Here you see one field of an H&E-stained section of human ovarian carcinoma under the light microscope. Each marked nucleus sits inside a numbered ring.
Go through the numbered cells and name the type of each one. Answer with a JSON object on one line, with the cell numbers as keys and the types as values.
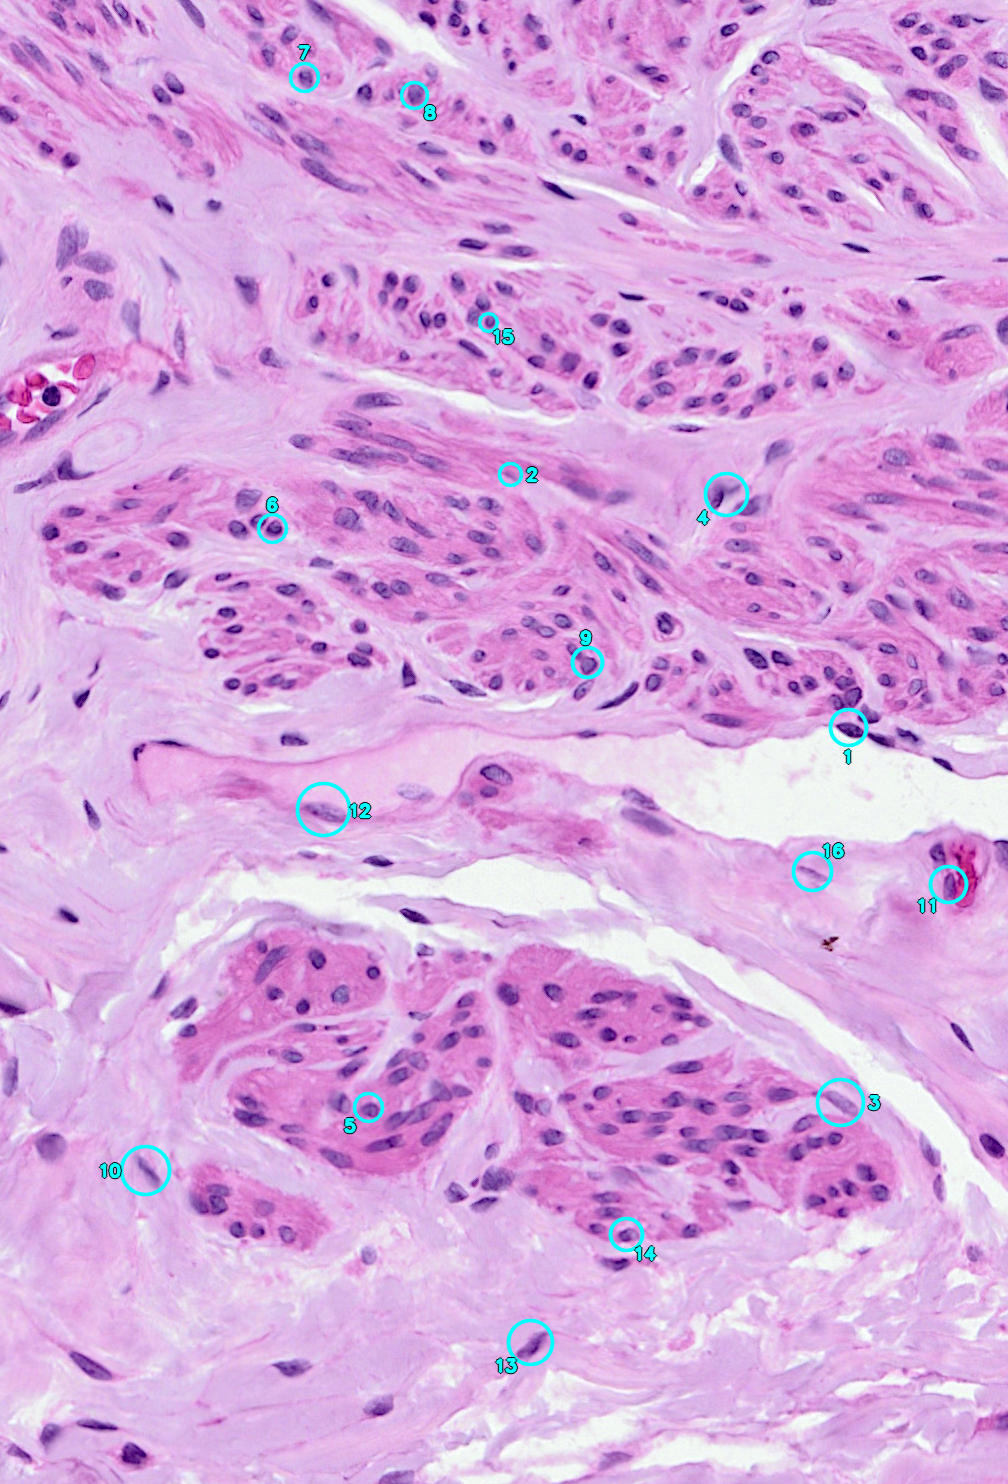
{"1": "endothelial cell", "2": "smooth muscle cell", "3": "smooth muscle cell", "4": "fibroblast", "5": "smooth muscle cell", "6": "smooth muscle cell", "7": "smooth muscle cell", "8": "smooth muscle cell", "9": "smooth muscle cell", "10": "fibroblast", "11": "endothelial cell", "12": "endothelial cell", "13": "fibroblast", "14": "smooth muscle cell", "15": "smooth muscle cell", "16": "fibroblast"}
